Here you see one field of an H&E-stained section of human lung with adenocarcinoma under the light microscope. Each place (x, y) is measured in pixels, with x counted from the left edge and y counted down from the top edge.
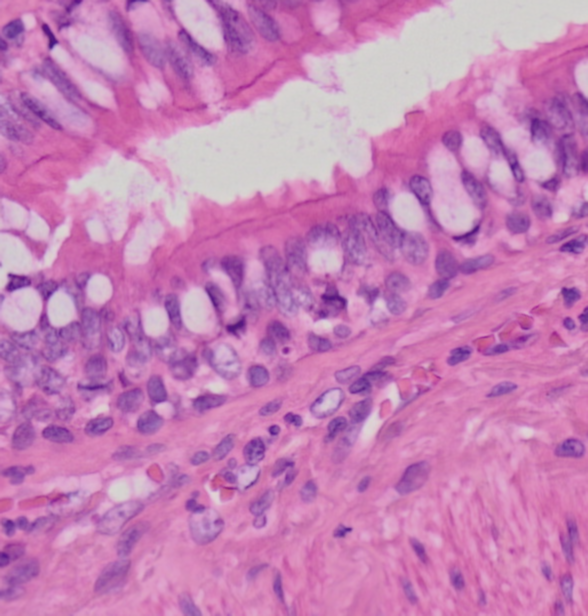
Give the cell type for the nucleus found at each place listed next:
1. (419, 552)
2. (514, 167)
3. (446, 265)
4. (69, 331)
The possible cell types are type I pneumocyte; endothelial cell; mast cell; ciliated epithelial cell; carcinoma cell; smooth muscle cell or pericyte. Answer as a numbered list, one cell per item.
1. smooth muscle cell or pericyte
2. ciliated epithelial cell
3. ciliated epithelial cell
4. ciliated epithelial cell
